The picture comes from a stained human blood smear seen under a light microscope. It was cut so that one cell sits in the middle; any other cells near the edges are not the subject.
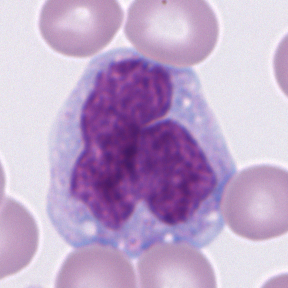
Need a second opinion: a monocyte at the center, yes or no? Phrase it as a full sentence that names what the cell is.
Yes, in the centre of this field sits a monocyte.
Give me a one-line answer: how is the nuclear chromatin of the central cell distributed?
What stands out is fine chromatin lacking any coarse clumps.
